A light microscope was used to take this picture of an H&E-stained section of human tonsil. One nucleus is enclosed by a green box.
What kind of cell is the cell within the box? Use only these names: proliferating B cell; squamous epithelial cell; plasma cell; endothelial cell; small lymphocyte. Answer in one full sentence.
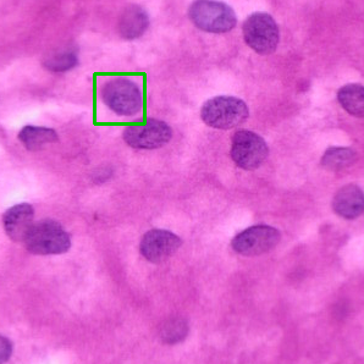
It is as a squamous epithelial cell that the cell within the box is classified.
